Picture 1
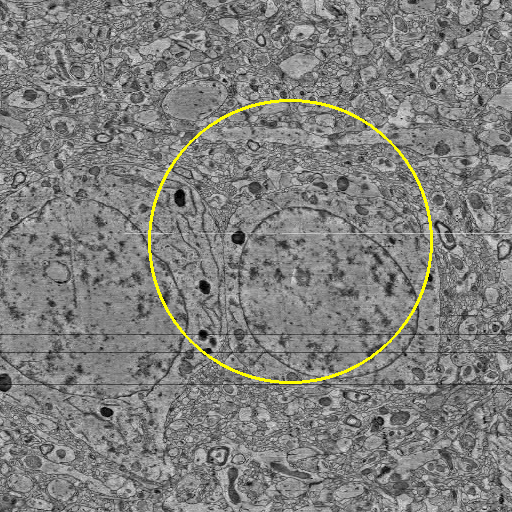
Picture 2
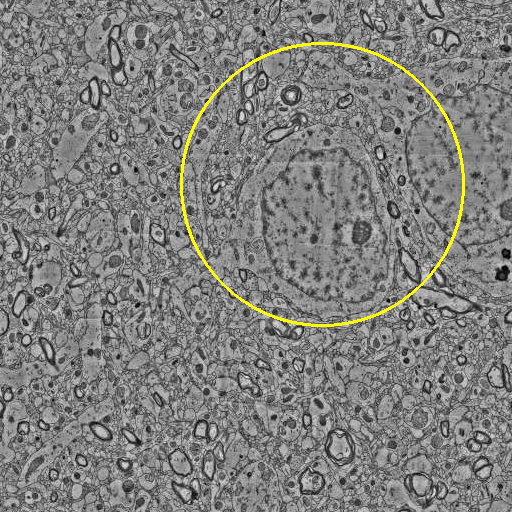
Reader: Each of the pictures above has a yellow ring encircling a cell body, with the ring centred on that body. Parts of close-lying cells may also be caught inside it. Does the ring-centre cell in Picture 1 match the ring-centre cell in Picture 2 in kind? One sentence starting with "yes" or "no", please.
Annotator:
No, Picture 1 and Picture 2 show ring-centre cells of two kinds.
